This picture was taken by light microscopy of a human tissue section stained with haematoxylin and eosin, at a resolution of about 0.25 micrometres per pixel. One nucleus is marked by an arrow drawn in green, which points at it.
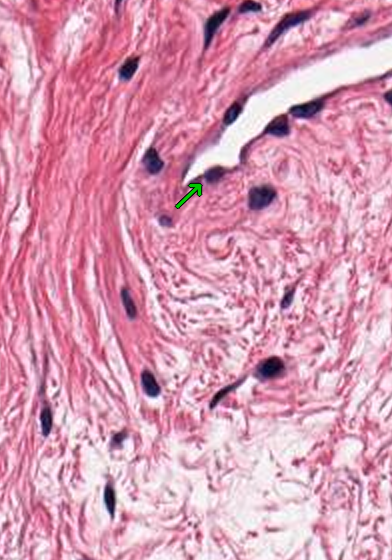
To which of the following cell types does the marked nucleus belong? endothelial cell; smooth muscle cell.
endothelial cell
